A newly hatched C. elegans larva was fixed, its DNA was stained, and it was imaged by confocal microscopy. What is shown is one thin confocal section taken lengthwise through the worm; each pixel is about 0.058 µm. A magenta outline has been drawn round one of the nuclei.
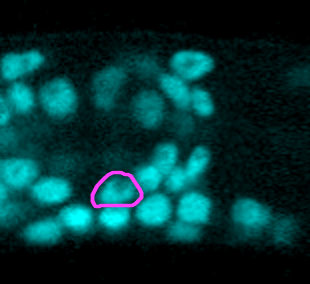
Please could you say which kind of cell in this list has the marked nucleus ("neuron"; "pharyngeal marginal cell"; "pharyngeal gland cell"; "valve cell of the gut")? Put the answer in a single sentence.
The marked nucleus belongs to a pharyngeal marginal cell.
